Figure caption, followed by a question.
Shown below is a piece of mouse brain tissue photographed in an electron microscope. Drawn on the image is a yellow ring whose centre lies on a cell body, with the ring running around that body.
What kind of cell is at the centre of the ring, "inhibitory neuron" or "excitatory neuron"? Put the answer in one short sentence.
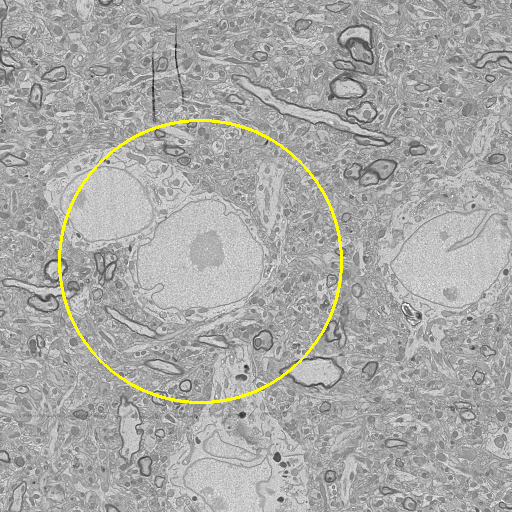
The ring marks the cell body of an inhibitory neuron.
